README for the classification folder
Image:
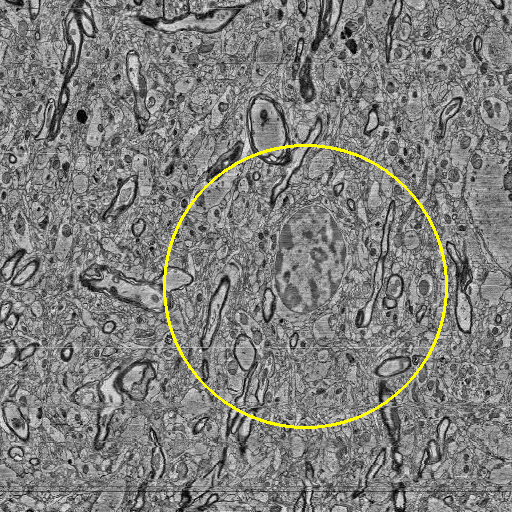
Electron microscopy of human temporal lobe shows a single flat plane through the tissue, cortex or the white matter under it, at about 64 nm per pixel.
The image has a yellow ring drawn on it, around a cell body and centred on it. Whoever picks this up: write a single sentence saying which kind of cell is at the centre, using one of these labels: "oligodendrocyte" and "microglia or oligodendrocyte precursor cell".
This cell body is that of a microglial cell or oligodendrocyte precursor cell.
